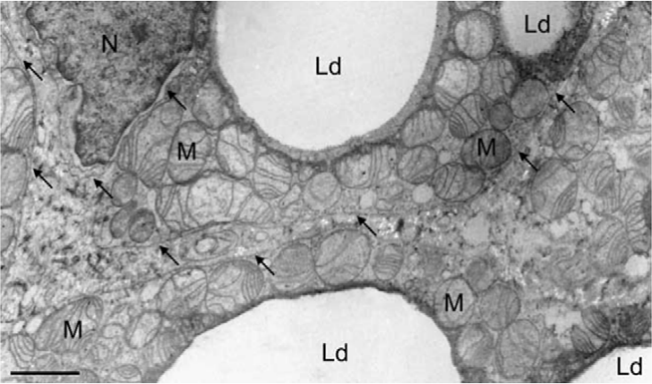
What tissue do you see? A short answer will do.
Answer: Brown adipose tissue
